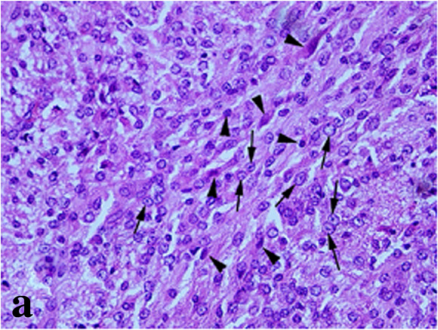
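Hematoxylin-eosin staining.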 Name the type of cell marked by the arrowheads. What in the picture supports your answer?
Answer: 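Eosinophilic spindle cells. The marked cells are elongated with pink cytoplasm. Their nuclei are small and dark compared with the neighbouring round pale nuclei.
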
